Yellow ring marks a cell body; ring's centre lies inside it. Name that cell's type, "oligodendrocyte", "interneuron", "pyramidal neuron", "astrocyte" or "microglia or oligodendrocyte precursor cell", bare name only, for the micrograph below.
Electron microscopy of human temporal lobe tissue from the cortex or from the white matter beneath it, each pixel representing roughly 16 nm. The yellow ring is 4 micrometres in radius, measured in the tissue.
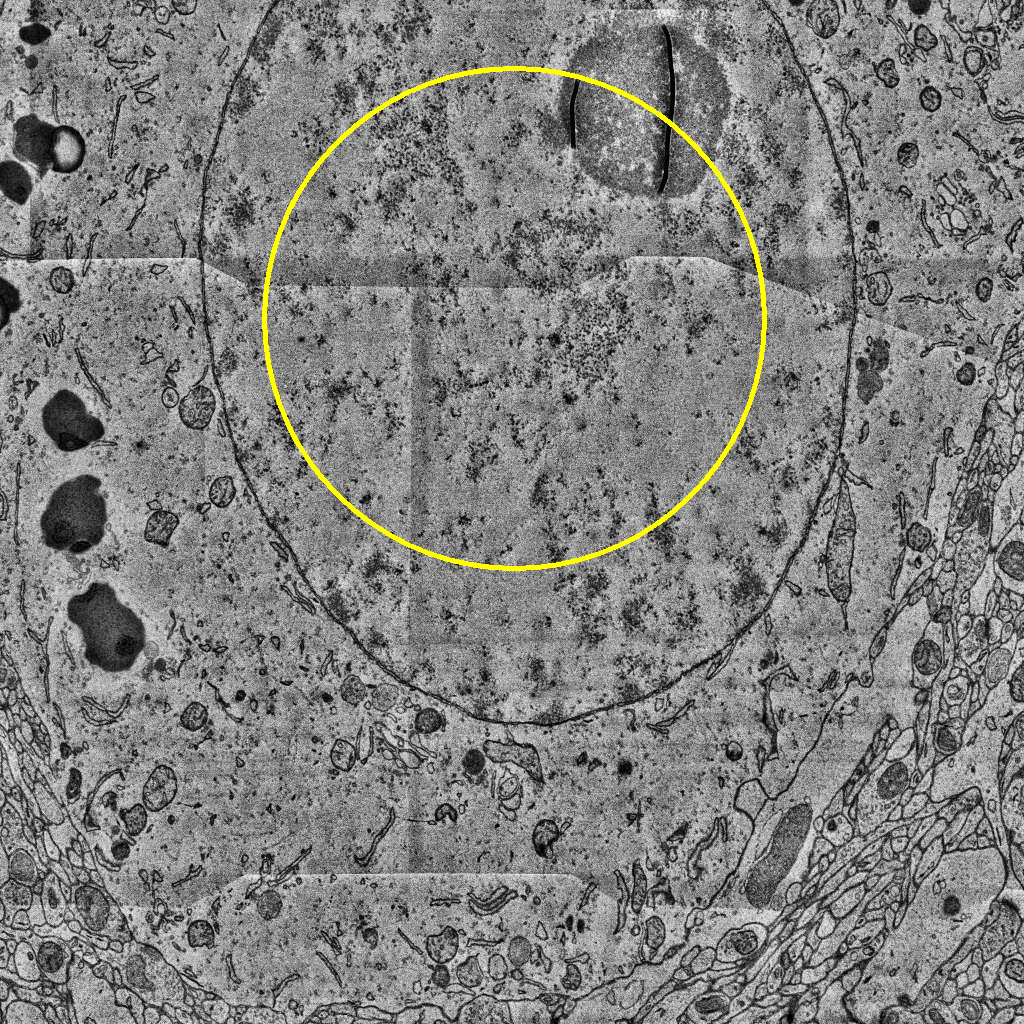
pyramidal neuron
